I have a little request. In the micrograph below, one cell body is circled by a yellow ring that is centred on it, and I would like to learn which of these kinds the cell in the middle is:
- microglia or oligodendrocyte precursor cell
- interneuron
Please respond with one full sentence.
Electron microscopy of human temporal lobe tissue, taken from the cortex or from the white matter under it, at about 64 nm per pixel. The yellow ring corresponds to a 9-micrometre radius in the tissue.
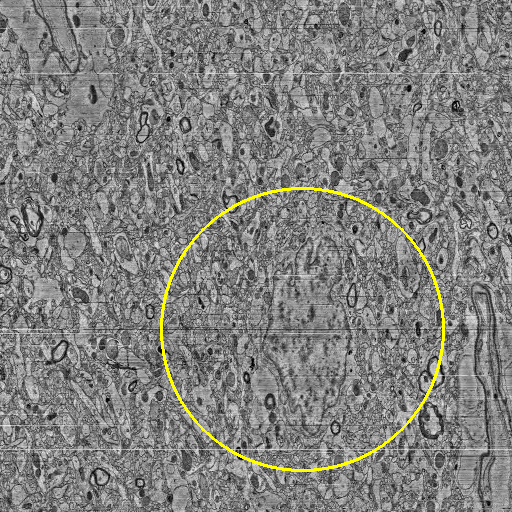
The cell sitting in the middle of the yellow ring in the micrograph is an interneuron.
